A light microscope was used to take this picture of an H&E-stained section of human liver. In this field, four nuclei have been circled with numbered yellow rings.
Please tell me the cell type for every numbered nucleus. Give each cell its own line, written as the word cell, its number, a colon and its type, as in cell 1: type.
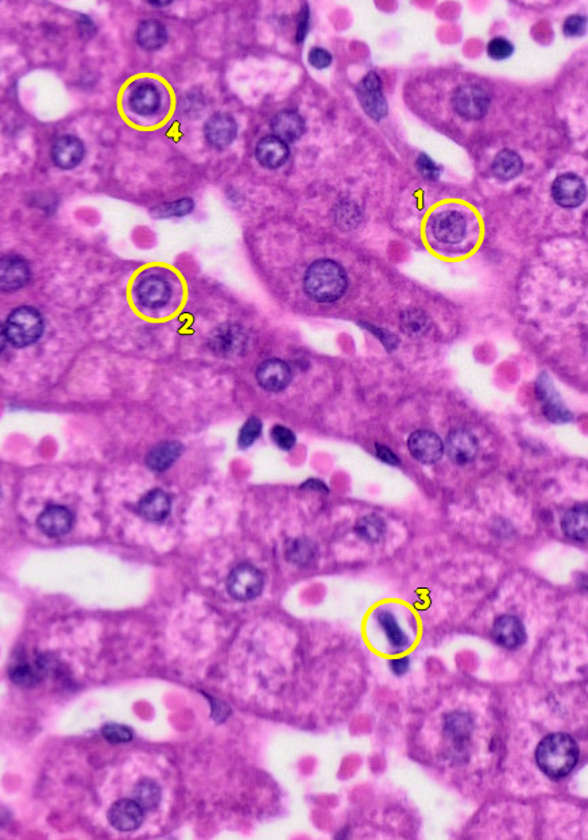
cell 1: hepatocyte
cell 2: hepatocyte
cell 3: lymphocyte
cell 4: hepatocyte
